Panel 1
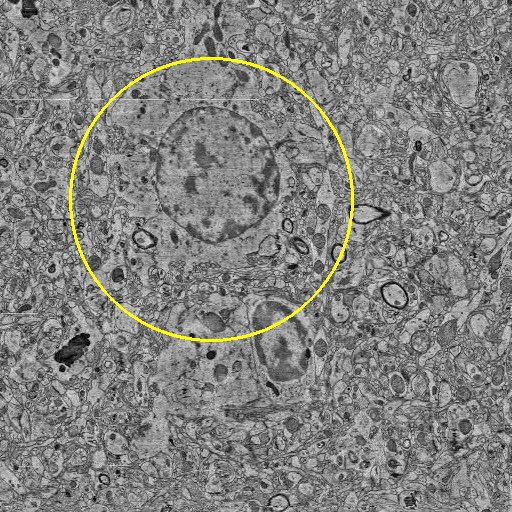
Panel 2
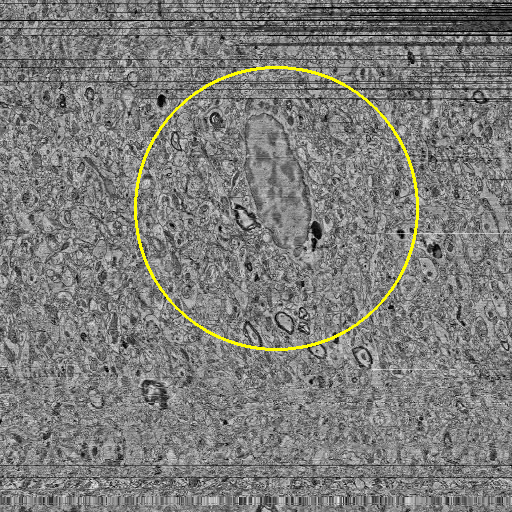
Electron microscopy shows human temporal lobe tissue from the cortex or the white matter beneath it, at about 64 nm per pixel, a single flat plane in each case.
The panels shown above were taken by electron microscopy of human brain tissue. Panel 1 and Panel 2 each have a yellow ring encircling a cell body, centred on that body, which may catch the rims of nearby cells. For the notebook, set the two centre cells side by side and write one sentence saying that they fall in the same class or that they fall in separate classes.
The centred cells of Panel 1 and Panel 2 fall in separate classes.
